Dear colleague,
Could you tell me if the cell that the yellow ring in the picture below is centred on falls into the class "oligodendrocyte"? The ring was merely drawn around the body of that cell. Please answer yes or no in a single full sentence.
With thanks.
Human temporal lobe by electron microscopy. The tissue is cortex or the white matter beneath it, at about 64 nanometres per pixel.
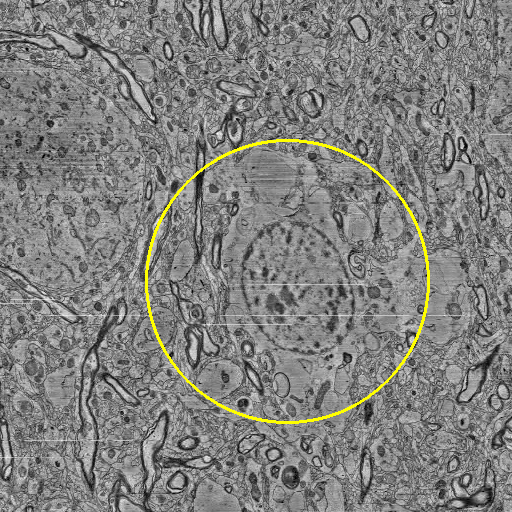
No, the cell on which the ring in your picture is centred falls into a different class.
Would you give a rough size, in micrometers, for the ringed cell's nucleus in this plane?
The nucleus appears roughly 9 by 7 micrometres in this plane.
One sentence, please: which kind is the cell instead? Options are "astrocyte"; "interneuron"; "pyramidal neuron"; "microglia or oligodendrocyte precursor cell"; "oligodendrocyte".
Instead, the cell at the centre of the yellow ring is an astrocyte.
